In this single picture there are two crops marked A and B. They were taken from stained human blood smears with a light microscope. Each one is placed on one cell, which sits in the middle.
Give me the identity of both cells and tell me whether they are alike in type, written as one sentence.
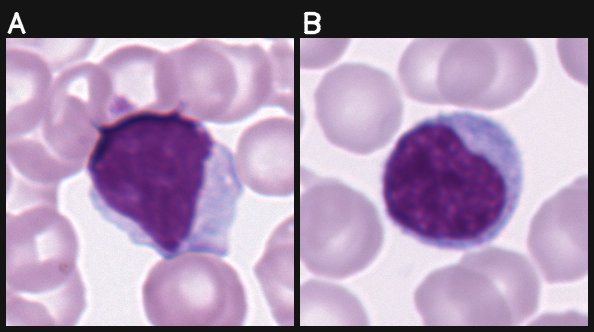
Yes, both crops show typical lymphocytes at their middles.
